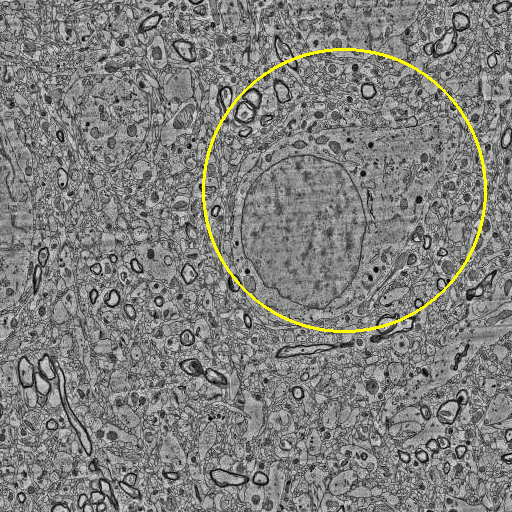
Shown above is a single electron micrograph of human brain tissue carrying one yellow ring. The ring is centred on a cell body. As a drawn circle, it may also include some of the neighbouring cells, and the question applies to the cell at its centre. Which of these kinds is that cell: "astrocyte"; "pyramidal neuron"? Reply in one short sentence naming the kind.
The cell marked by the ring is a pyramidal neuron.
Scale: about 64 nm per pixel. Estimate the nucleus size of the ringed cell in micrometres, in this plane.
In this plane, about 10 micrometres in length and 8 in width.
